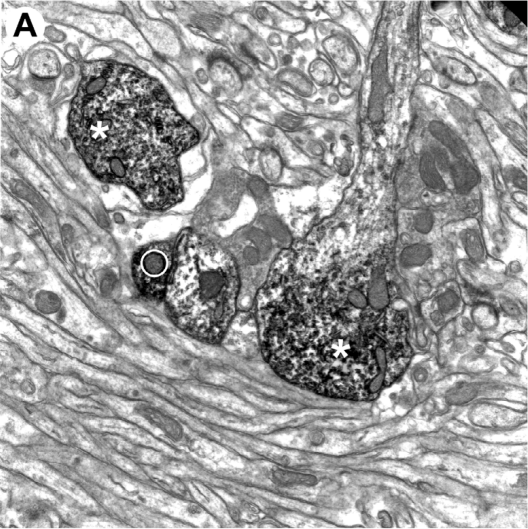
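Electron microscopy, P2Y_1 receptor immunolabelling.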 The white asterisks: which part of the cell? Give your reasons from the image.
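Dendrites. The asterisks sit on large profiles filled with dark, granular deposit. The marked profiles contain mitochondria and lie among bundles of thin processes.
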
